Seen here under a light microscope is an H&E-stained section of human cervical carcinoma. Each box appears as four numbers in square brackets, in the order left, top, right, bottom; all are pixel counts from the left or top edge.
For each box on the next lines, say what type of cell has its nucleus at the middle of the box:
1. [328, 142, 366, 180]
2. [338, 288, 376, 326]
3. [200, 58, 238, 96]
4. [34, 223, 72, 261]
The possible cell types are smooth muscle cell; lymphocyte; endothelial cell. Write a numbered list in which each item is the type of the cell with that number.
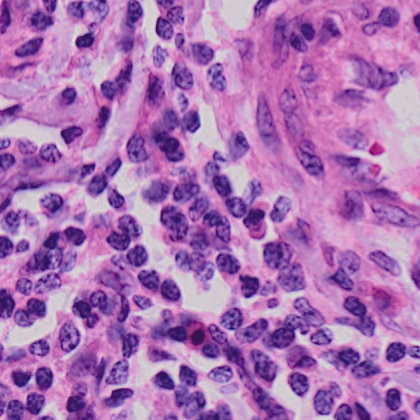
1. endothelial cell
2. lymphocyte
3. lymphocyte
4. lymphocyte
